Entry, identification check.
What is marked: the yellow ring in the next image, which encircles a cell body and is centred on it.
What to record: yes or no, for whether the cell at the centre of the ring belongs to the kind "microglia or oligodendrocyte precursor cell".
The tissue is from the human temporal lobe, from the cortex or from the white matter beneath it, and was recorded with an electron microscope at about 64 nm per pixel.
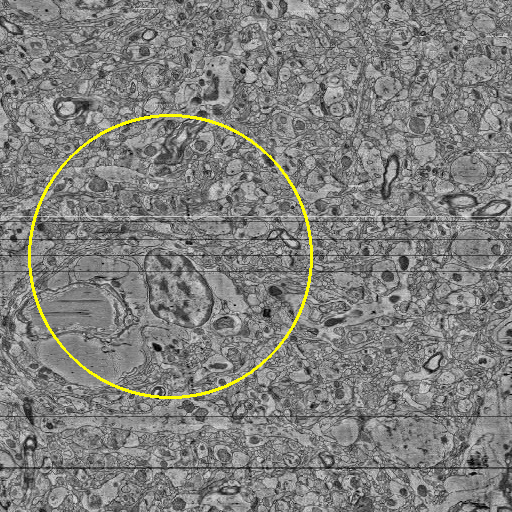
Yes, it belongs to that kind.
